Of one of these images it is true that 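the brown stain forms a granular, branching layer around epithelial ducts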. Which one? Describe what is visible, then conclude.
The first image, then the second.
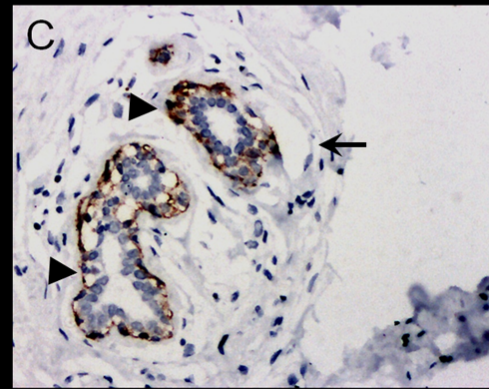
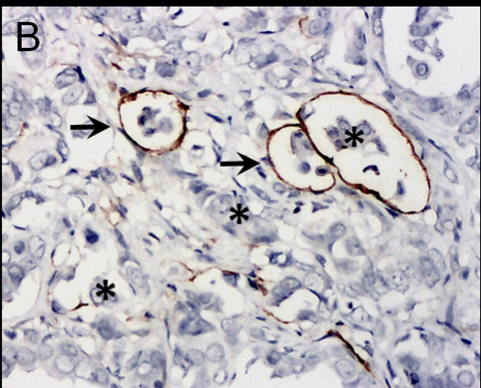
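First image: brown stain is thick and granular around the outer layer of small ducts. Second image: brown stain is a thin smooth line lining open vessel lumens.
Conclusion: the first image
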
